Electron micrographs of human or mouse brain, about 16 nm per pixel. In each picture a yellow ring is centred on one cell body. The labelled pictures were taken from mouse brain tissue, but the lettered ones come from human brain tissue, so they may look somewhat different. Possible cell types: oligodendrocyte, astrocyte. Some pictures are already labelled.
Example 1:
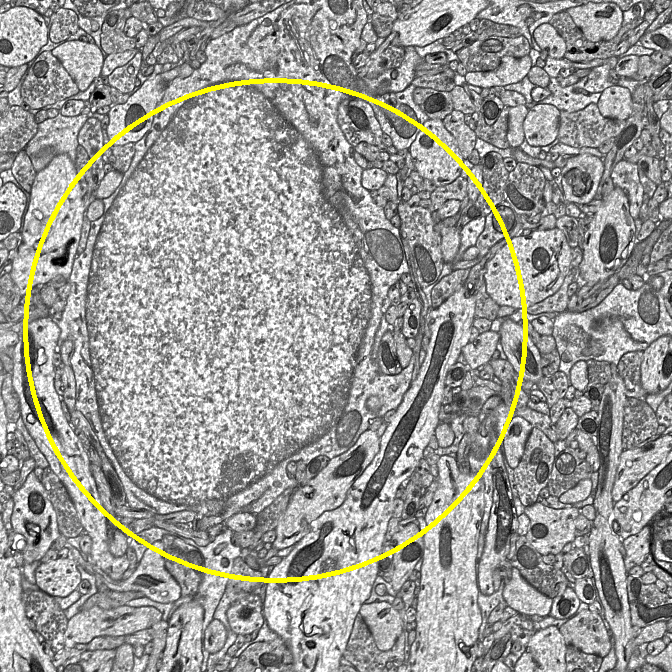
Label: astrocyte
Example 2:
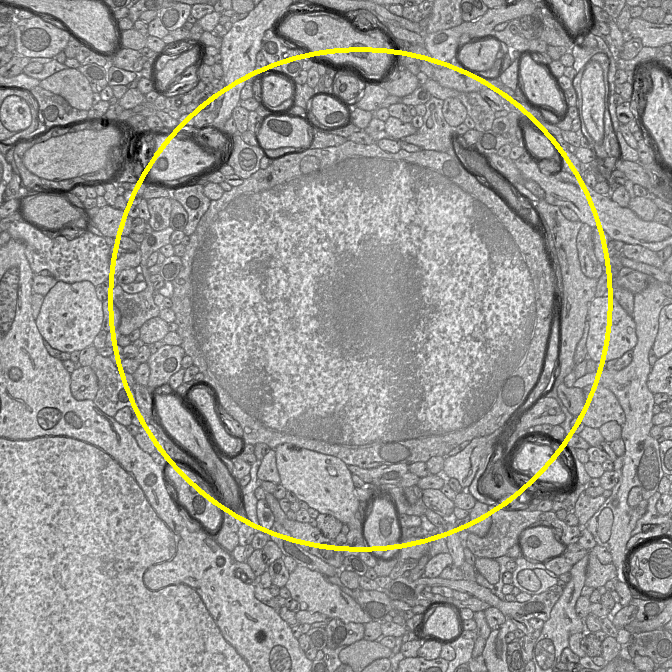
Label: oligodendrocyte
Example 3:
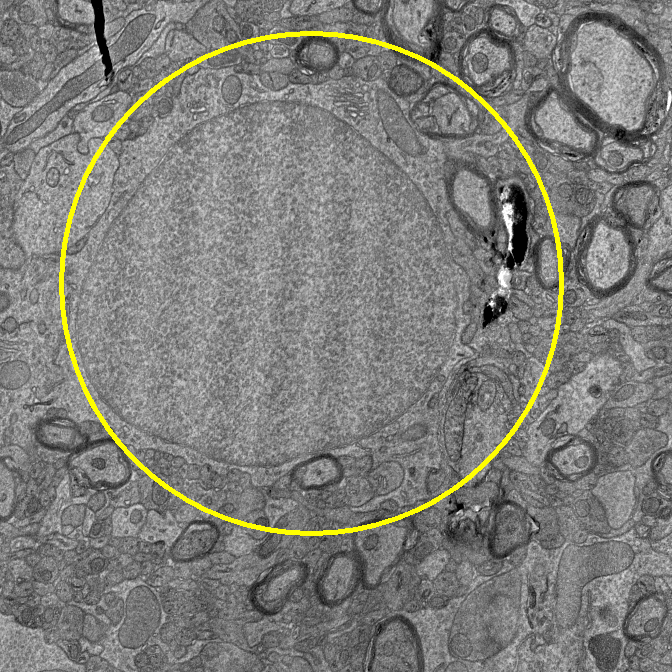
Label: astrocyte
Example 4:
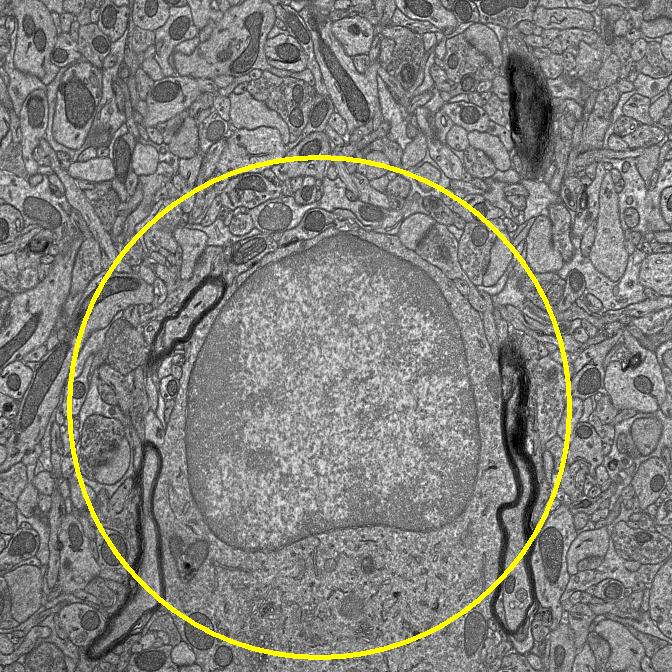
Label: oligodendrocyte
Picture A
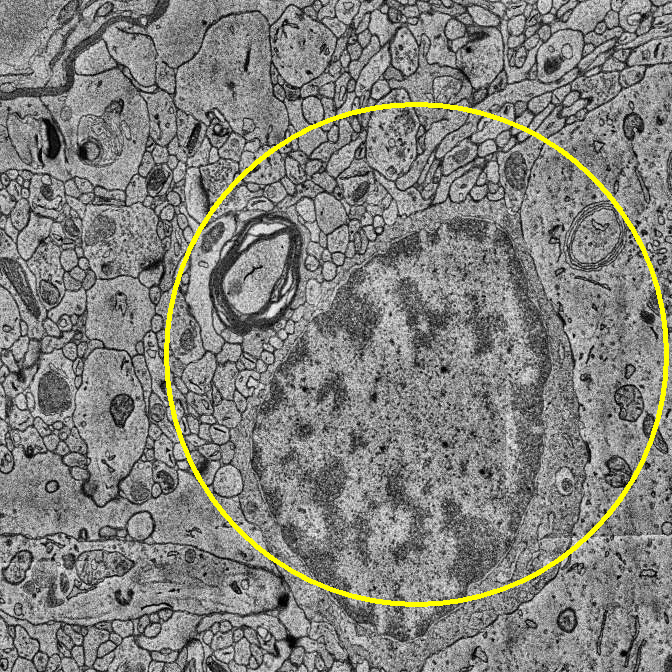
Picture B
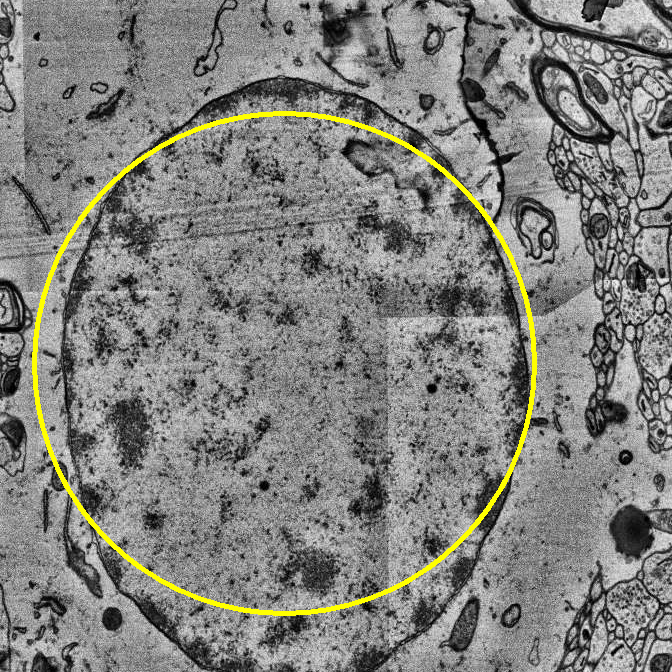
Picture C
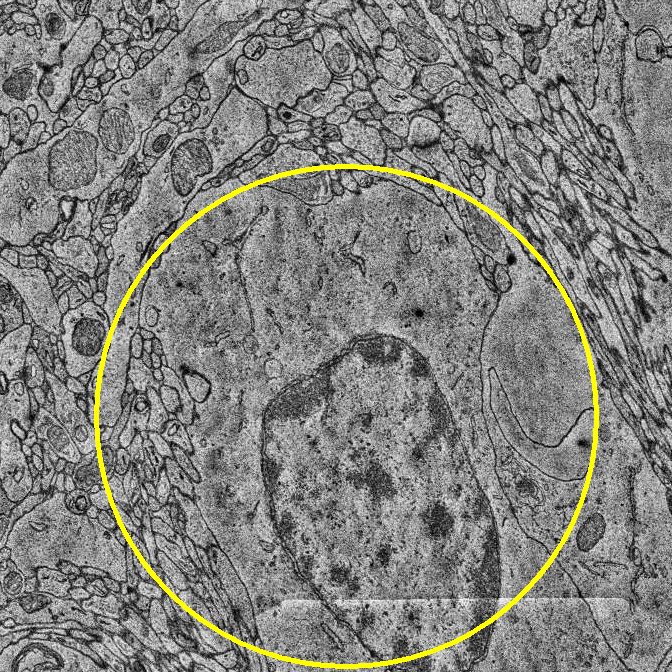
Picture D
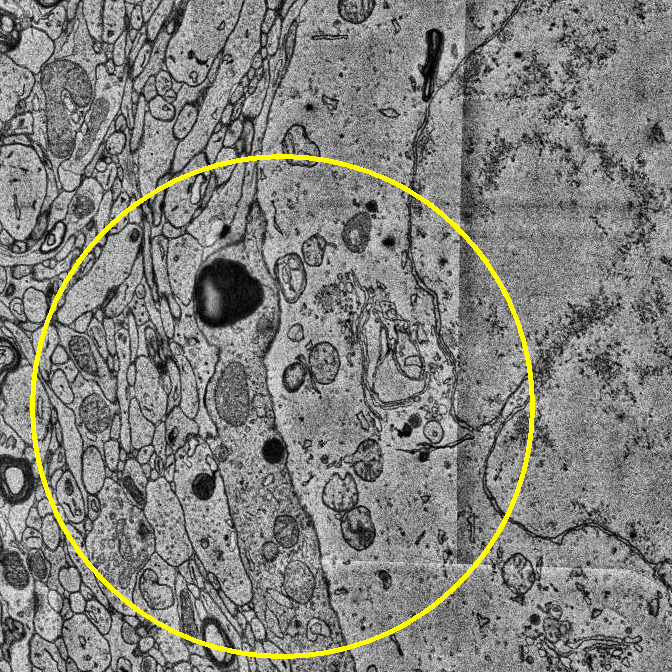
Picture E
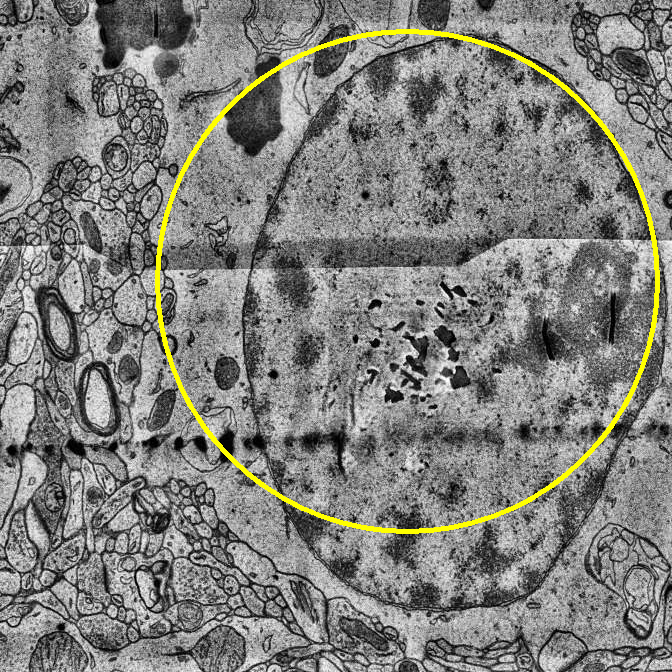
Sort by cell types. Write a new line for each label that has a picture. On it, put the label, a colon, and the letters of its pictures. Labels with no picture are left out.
oligodendrocyte: A, D
astrocyte: B, C, E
